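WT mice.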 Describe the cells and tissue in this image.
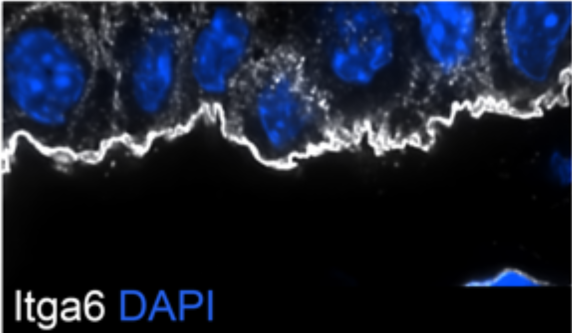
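A row of basal keratinocytes of the epidermis sits on a bright white, finely wavy line at their base. Their oval blue nuclei are closely lined up just above this line, with fine dotted white signal between and around the cells.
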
